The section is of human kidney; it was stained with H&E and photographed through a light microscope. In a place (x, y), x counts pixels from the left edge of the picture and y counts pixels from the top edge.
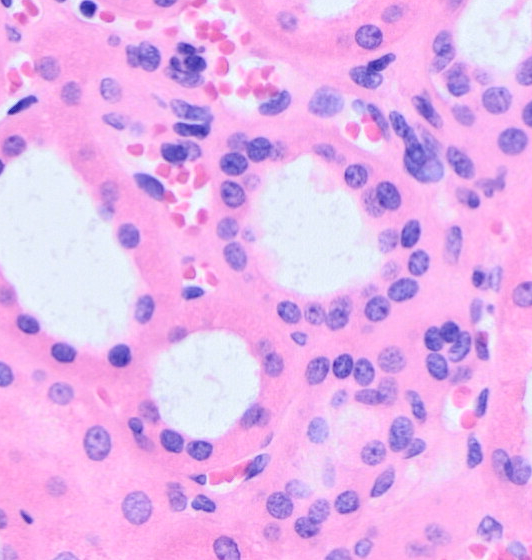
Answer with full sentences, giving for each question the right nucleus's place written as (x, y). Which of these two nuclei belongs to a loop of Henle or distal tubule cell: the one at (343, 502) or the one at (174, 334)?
The nucleus belonging to a loop of Henle or distal tubule cell is the one at (174, 334).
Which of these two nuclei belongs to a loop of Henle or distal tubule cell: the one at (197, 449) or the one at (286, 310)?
Out of the two, it is the nucleus at (197, 449) that belongs to a loop of Henle or distal tubule cell.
